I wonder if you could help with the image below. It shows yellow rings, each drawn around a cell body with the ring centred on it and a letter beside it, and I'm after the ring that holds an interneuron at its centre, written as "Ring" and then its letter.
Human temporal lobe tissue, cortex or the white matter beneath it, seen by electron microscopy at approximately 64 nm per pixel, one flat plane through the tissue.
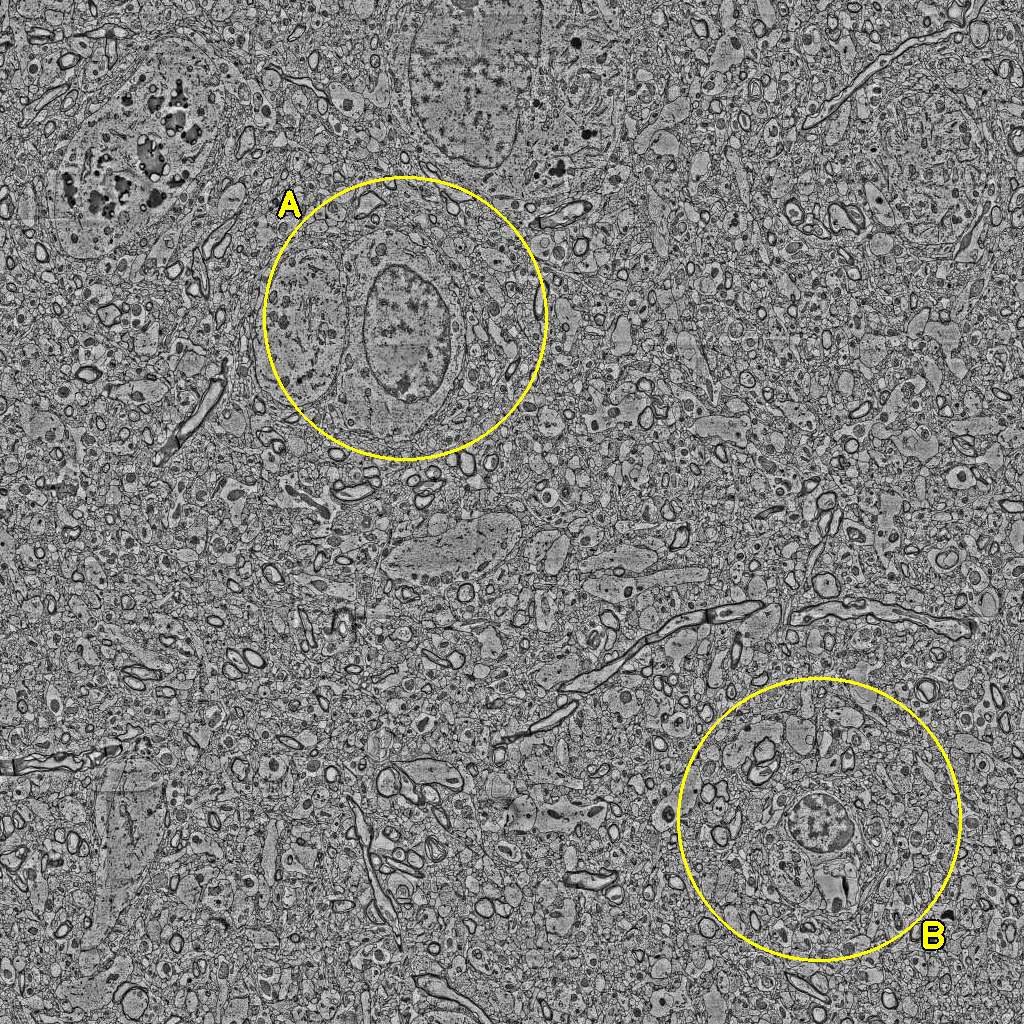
Ring A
